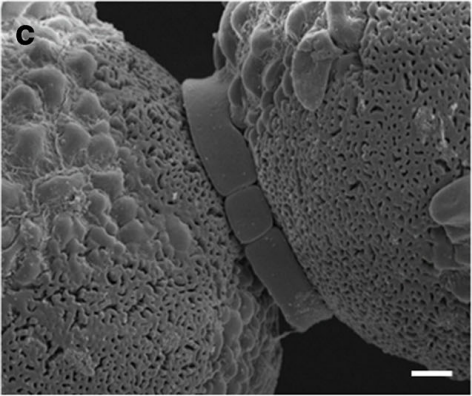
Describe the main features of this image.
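Two pollen grains touch here, joined by a narrow ring-like band. The band is made of smooth, rectangular, block-like segments lined up in a row between the grains. The grain walls on either side are finely perforated, like a sponge, with scattered raised plates and lumps on their surface.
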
